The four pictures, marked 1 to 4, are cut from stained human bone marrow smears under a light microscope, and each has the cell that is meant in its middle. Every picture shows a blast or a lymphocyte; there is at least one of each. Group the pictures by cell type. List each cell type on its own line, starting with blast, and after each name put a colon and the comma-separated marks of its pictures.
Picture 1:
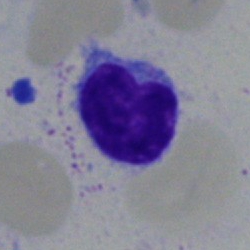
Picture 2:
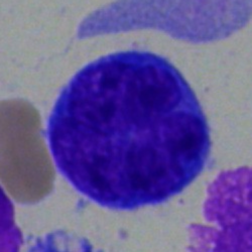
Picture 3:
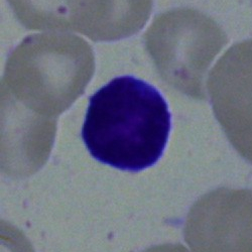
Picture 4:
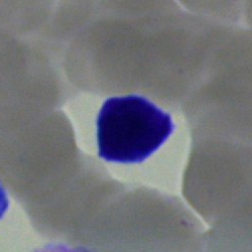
blast: 2
lymphocyte: 1, 3, 4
